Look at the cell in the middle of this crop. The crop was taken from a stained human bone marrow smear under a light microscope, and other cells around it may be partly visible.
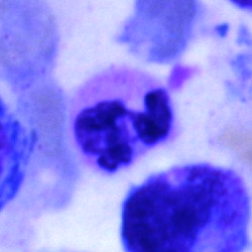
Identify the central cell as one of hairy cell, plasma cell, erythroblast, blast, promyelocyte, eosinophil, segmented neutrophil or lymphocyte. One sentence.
Present in the middle of the crop is a segmented neutrophil.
